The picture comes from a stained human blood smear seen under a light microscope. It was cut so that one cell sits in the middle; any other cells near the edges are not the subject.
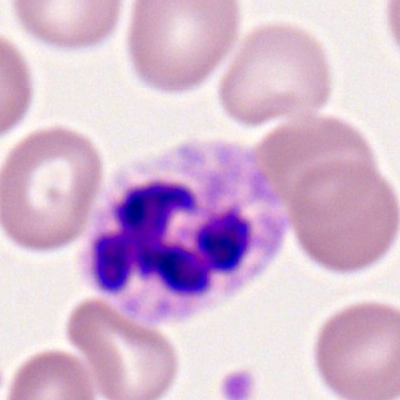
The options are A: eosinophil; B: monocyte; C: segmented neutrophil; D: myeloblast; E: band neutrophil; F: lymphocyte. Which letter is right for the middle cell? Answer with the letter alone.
C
